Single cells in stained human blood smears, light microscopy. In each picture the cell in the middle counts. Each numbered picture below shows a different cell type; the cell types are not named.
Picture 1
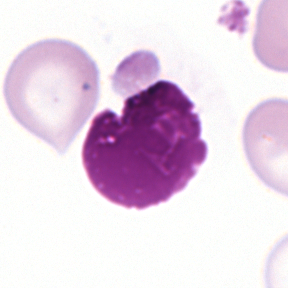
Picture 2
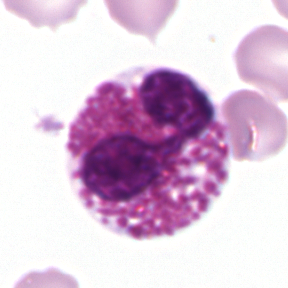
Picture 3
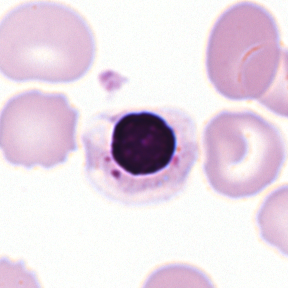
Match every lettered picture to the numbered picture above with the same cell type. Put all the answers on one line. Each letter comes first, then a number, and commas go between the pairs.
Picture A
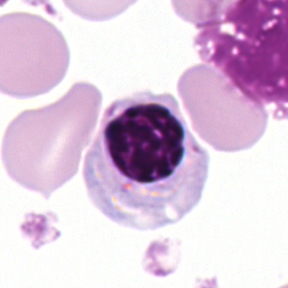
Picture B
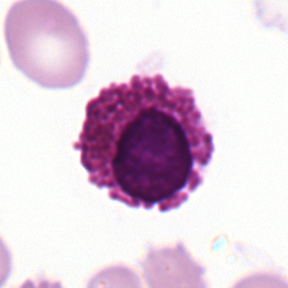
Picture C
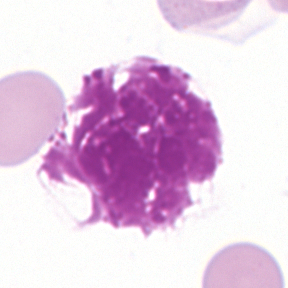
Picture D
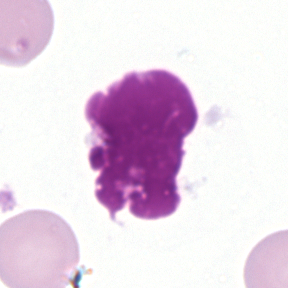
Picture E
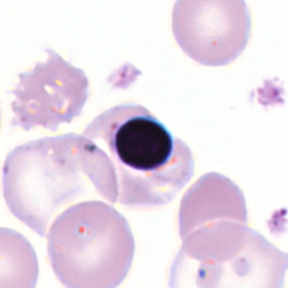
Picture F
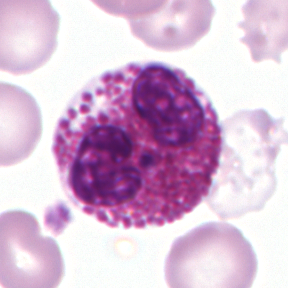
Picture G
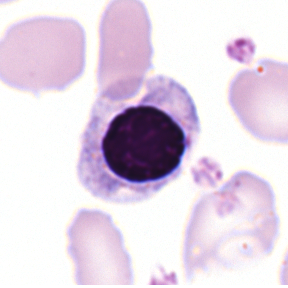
A 3, B 2, C 1, D 1, E 3, F 2, G 3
